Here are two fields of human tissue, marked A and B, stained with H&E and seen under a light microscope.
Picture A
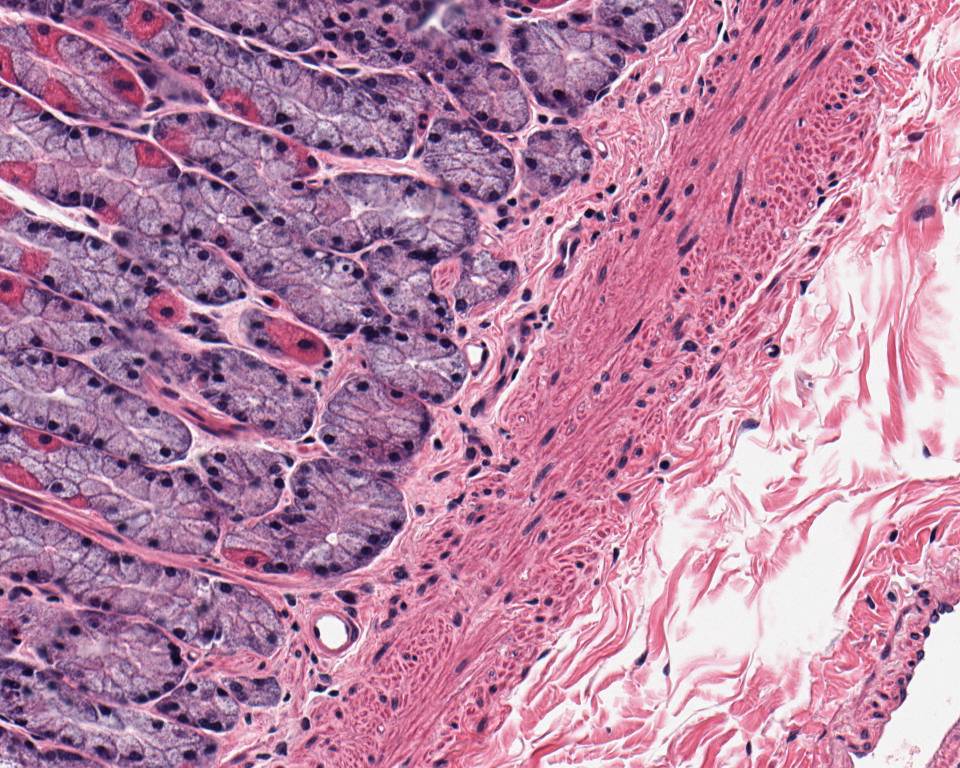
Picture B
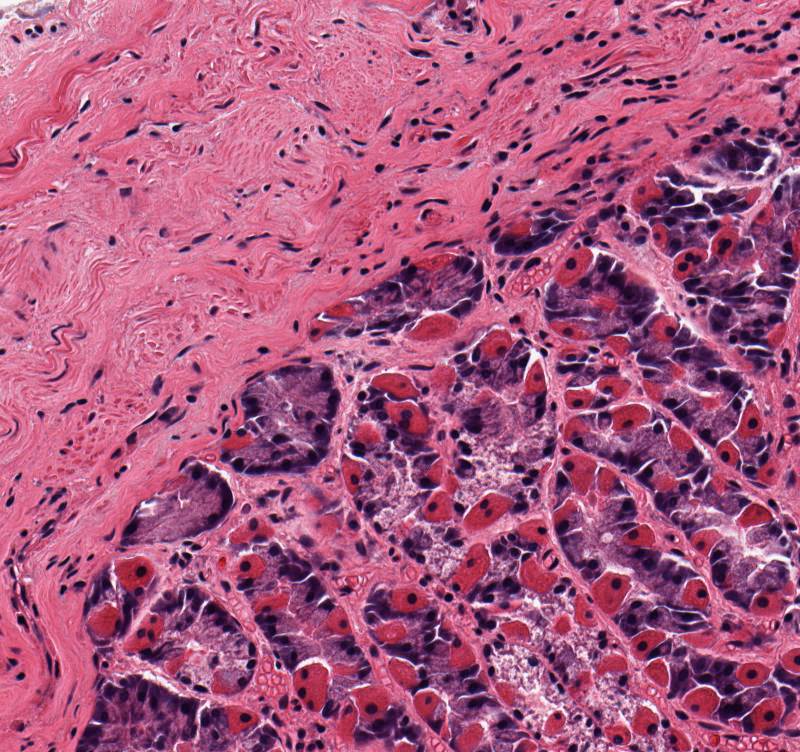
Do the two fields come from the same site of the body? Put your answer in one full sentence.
Yes, the two fields both come from the stomach.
